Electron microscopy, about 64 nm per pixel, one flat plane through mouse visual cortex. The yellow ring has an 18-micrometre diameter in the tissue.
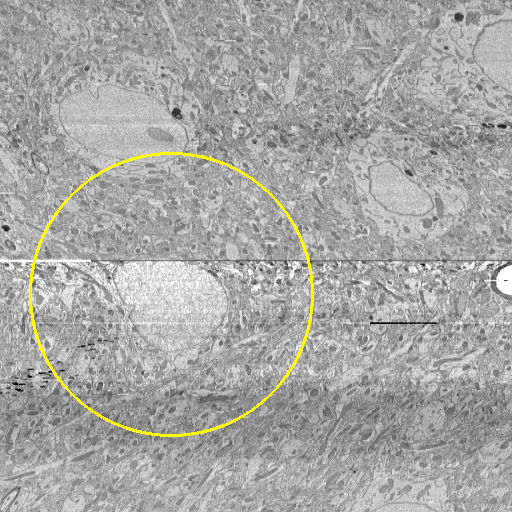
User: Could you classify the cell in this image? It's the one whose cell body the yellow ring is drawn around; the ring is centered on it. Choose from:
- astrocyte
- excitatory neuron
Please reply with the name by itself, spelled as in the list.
astrocyte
